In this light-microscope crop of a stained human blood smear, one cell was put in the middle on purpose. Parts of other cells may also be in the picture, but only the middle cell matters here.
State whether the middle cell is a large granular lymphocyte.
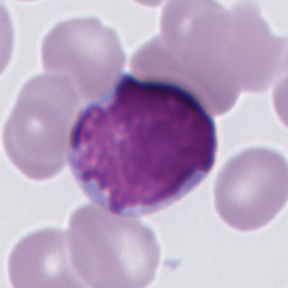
yes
